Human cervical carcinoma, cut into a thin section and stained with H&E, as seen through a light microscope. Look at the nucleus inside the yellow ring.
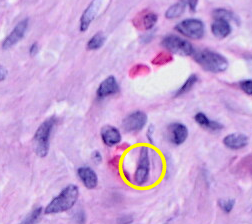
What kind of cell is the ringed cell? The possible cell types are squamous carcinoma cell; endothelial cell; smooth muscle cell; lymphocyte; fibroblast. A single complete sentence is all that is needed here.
Considered by cell type, the ringed cell is an endothelial cell.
